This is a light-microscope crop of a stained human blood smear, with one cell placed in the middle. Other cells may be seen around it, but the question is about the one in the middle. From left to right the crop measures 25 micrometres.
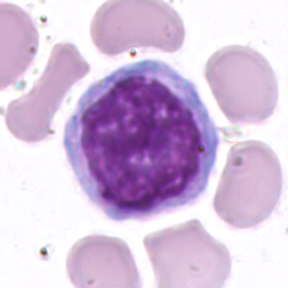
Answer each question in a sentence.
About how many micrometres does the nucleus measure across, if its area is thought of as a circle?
The diameter of the nucleus comes to about 11 micrometres.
